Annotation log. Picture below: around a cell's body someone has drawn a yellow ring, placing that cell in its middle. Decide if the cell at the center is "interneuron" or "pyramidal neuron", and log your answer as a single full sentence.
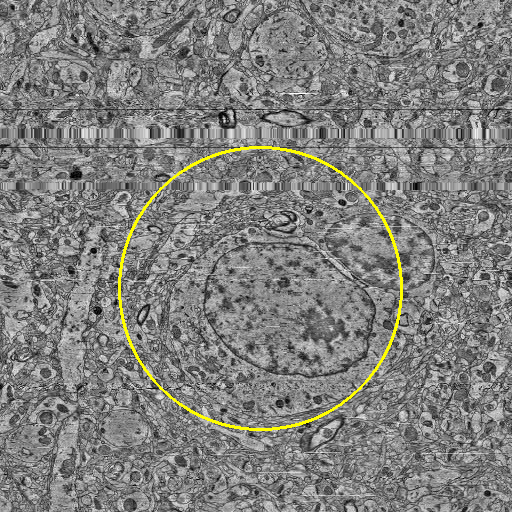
My entry records a pyramidal neuron as the cell sitting at the center of the yellow ring.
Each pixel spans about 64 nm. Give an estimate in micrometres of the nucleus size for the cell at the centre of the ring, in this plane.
In this plane, about 11 micrometres in length and 9 in width.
